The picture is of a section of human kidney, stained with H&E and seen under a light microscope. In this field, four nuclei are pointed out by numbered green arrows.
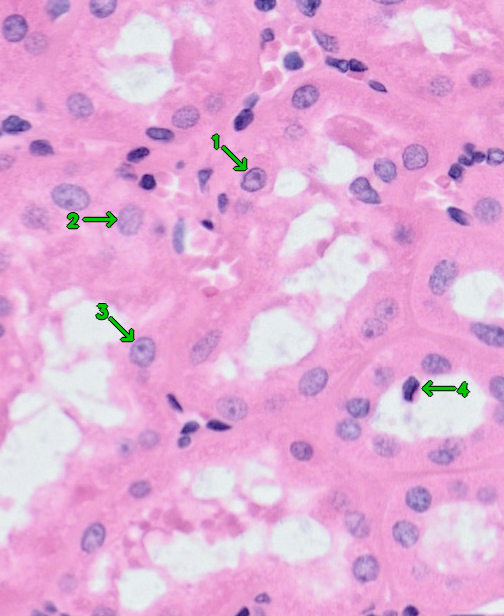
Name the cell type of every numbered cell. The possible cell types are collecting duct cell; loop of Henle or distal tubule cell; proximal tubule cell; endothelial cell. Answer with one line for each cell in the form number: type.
1: proximal tubule cell
2: proximal tubule cell
3: proximal tubule cell
4: loop of Henle or distal tubule cell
